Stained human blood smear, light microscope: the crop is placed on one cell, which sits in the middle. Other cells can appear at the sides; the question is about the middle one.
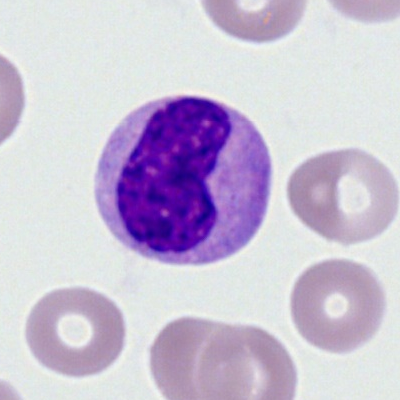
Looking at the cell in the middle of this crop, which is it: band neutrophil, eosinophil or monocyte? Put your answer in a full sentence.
This crop has a band neutrophil at its centre.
